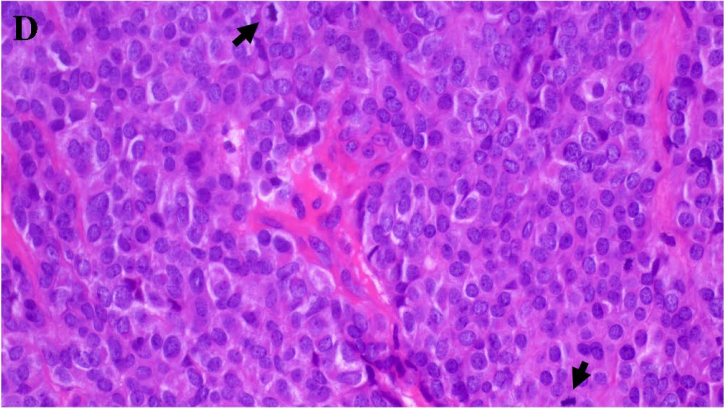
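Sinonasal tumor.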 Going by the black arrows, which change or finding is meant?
Brisk mitotic activity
